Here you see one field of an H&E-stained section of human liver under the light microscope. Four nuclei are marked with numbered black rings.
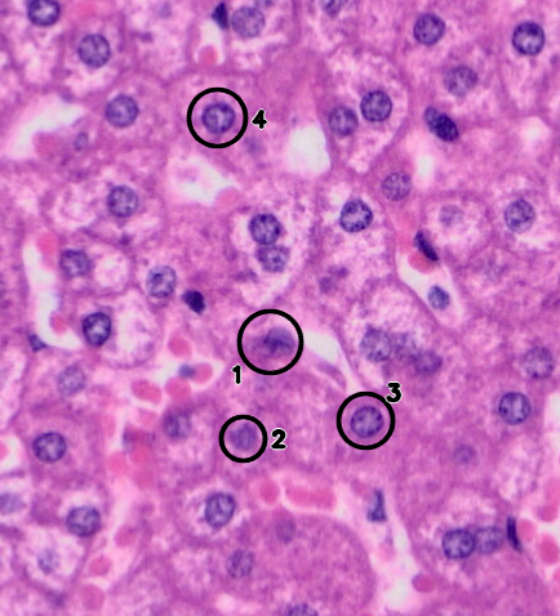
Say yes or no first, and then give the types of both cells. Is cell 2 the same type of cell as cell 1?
No, cell 2 is recognized as a hepatocyte, and cell 1 as a Kupffer cell.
